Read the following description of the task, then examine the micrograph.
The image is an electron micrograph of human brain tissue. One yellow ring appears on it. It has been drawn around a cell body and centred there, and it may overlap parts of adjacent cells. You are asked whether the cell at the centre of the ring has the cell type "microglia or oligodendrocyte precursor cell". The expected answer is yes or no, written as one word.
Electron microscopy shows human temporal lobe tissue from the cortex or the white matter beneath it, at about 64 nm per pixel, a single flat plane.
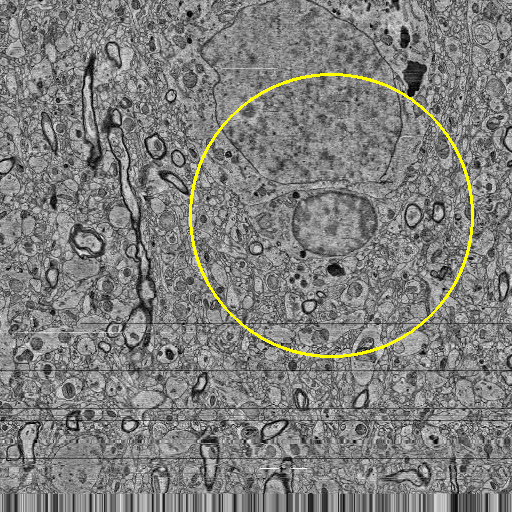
no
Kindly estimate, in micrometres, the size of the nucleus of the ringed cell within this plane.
The nucleus is approximately 5 micrometers long by 4 micrometers wide in this plane.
